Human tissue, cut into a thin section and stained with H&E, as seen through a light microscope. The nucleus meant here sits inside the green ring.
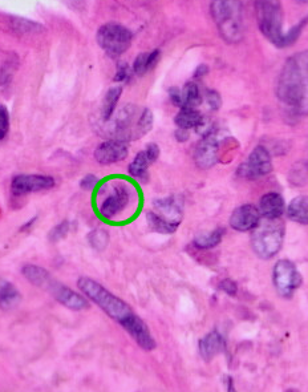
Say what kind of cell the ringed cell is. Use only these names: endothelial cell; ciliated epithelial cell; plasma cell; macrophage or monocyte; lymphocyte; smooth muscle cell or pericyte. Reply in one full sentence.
Cell type answer for this item: the ringed cell is a plasma cell.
